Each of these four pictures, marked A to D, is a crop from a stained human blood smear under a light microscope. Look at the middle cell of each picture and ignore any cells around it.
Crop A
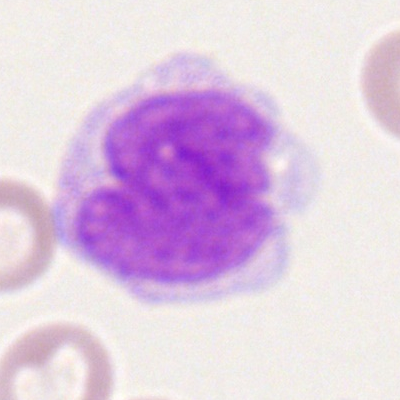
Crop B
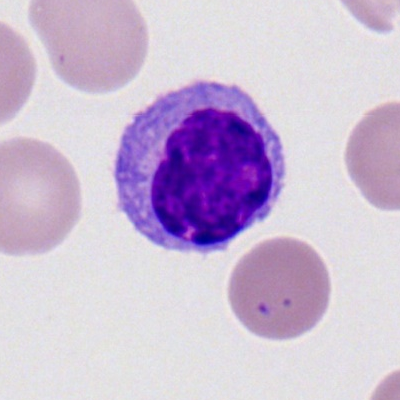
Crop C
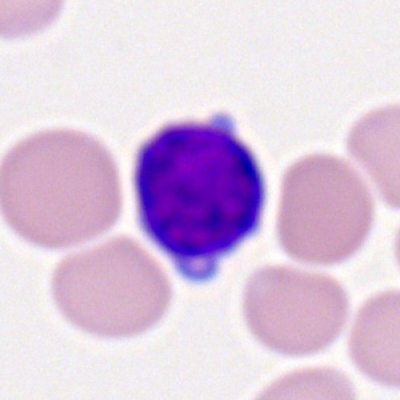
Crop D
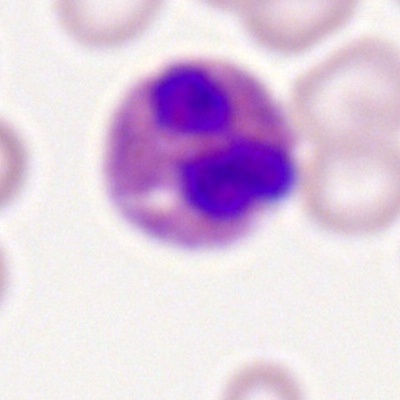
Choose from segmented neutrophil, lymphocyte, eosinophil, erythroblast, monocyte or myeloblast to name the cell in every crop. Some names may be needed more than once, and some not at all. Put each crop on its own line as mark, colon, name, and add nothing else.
A: monocyte
B: lymphocyte
C: lymphocyte
D: eosinophil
